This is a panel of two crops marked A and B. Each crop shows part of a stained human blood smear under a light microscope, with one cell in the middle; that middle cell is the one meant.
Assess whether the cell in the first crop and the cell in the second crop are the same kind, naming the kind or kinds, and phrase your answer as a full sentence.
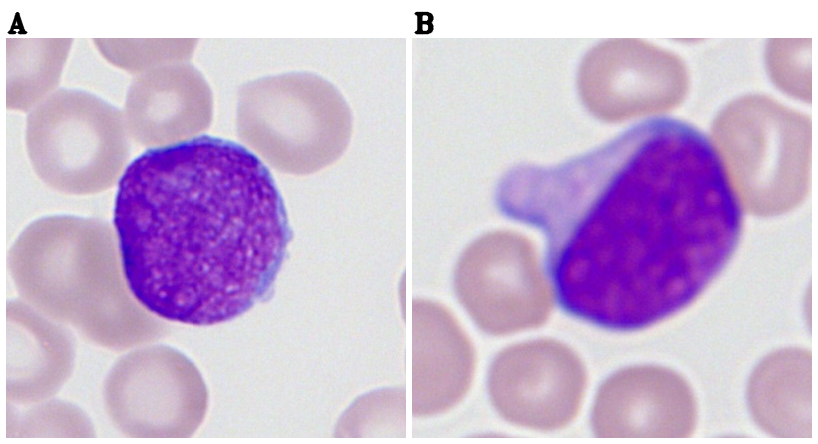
Yes, blasts are centred in both crops.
